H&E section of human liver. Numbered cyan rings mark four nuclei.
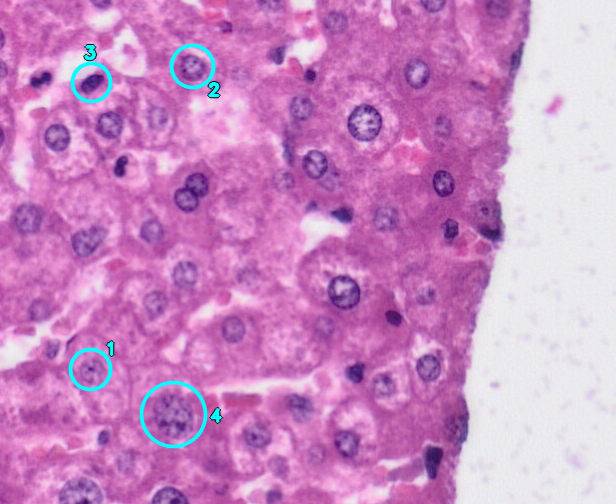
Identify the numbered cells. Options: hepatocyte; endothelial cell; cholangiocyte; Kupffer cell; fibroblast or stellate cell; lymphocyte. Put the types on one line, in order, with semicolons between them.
hepatocyte; hepatocyte; fibroblast or stellate cell; hepatocyte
